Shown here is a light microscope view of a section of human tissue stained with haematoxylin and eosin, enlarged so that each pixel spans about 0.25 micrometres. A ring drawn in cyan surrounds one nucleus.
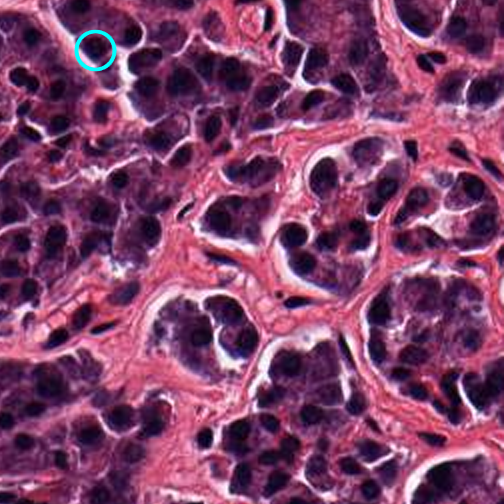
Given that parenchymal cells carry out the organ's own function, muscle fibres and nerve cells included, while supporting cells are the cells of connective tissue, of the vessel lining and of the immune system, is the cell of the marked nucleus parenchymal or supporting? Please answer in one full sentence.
The marked nucleus is the nucleus of a parenchymal cell, that is, a pancreatic acinar cell.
